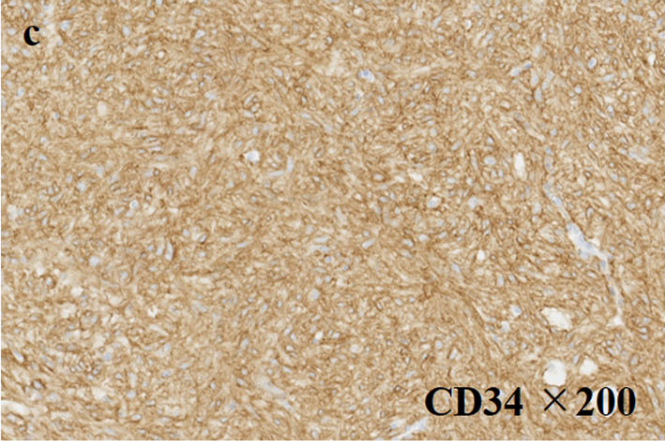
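This is the same spindle cell tumor, where nearly all tumor cells take up a strong, diffuse brown stain. The brown outlines the cytoplasm and cell borders of densely packed, elongated cells, while their nuclei stay pale blue. A few small vessel spaces are scattered through the sheet of stained cells.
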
